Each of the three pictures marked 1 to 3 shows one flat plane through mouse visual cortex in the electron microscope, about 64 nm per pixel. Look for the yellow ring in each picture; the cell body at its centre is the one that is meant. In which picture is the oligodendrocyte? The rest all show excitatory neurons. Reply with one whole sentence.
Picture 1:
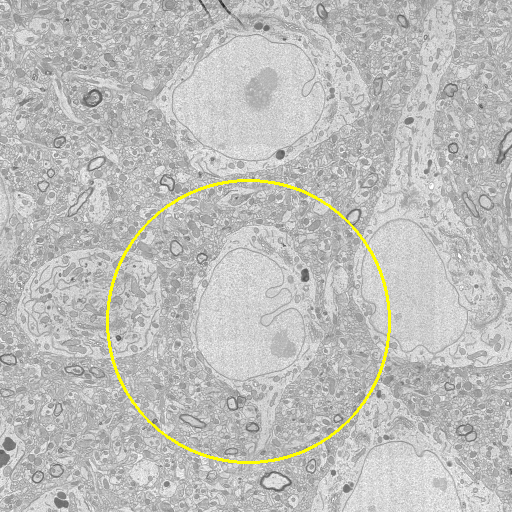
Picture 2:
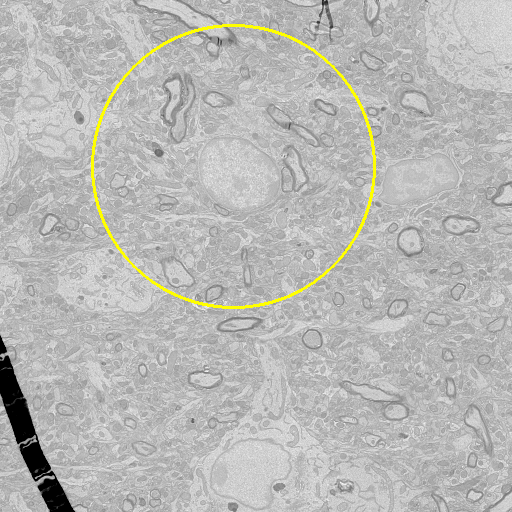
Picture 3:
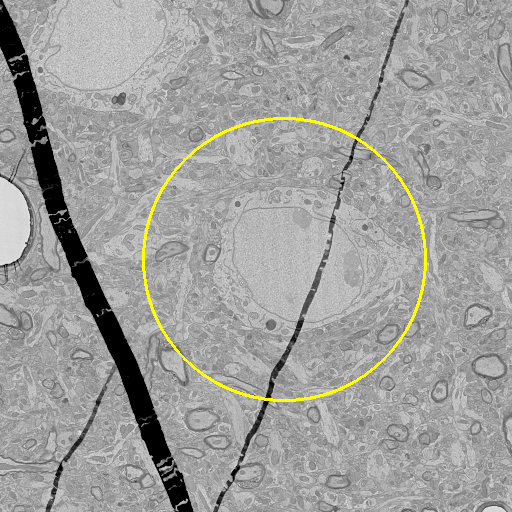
Picture 2 is the one that shows the oligodendrocyte.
